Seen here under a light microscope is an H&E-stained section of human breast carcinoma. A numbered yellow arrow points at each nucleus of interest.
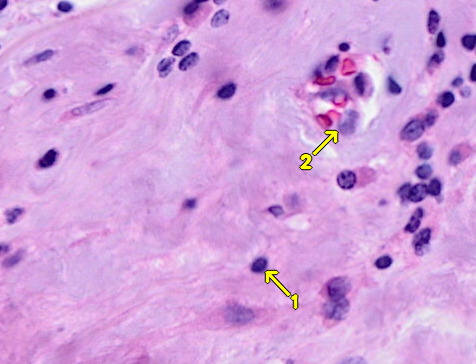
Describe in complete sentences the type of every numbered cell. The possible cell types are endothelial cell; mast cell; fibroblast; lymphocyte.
Cell 1 is a lymphocyte and cell 2 is an endothelial cell.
